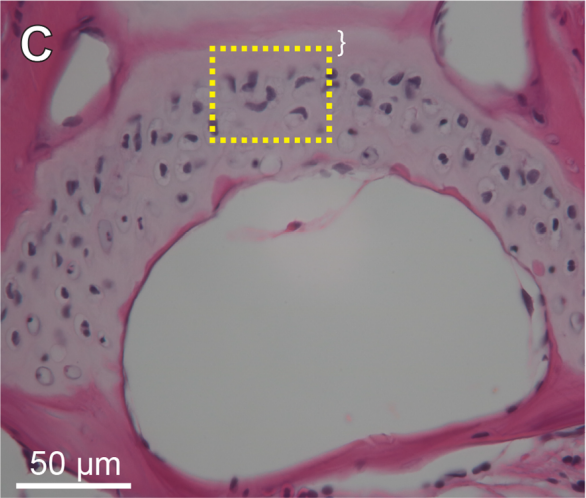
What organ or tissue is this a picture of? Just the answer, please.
Hyaline cartilage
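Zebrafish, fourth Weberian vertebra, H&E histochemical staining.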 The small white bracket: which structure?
cell-less fibrous region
